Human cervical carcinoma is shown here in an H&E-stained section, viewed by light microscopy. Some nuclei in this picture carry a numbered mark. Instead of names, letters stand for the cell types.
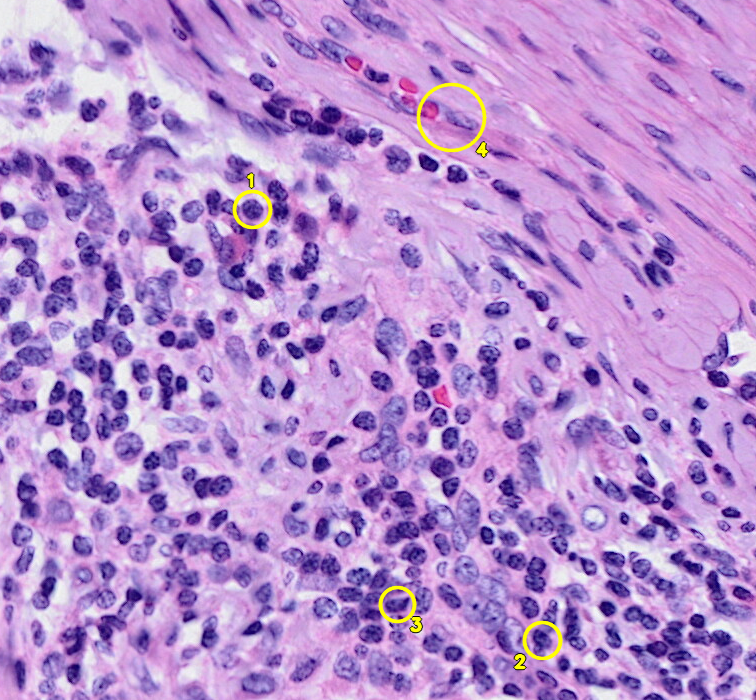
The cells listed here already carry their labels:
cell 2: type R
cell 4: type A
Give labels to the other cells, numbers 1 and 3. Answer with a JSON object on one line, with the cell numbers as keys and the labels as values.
{"1": "type R", "3": "type R"}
